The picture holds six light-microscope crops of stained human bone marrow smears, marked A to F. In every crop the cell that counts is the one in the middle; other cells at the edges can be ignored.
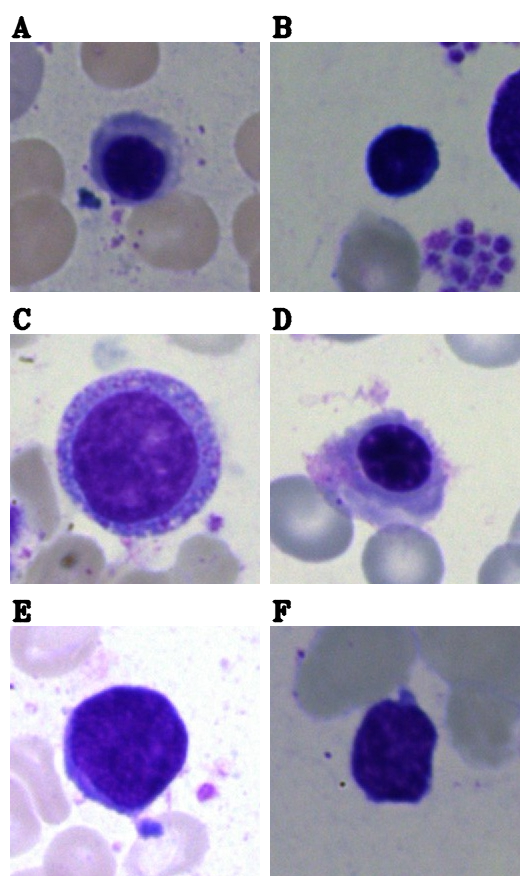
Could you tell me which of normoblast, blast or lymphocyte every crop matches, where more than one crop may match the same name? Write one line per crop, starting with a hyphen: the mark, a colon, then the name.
- A: normoblast
- B: lymphocyte
- C: blast
- D: normoblast
- E: blast
- F: lymphocyte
